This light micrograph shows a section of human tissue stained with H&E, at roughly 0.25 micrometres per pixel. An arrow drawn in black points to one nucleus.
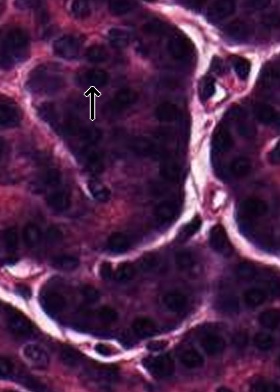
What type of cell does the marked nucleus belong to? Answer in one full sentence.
The nucleus marked in this picture belongs to a pancreatic acinar cell.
